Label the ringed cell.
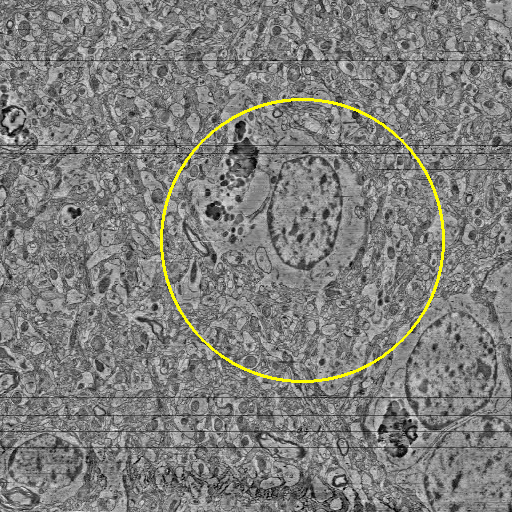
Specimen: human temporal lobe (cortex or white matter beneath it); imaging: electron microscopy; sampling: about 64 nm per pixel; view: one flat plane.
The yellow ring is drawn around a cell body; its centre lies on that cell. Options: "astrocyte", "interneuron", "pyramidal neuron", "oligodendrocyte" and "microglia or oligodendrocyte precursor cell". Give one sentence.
The ringed cell is an astrocyte.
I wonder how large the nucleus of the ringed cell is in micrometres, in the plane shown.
The nucleus of the ringed cell is clearly longer than it is wide in this plane, about 7 by 5 micrometres.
